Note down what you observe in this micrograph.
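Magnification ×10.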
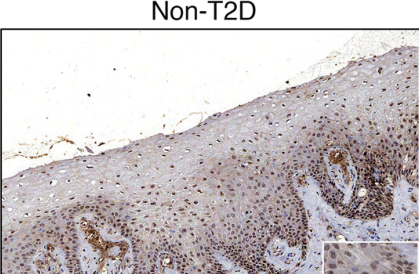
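This is skin with a thick stratified epidermis resting on dermis, whose lower border forms ridges that interlock with dermal papillae. The cells of the basal and lower suprabasal layers are stained dark brown, in their nuclei and around them, while the upper layers are paler. The papillae contain small vessels, some of which are also rimmed with brown, set in loose pale connective tissue with scattered nuclei.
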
